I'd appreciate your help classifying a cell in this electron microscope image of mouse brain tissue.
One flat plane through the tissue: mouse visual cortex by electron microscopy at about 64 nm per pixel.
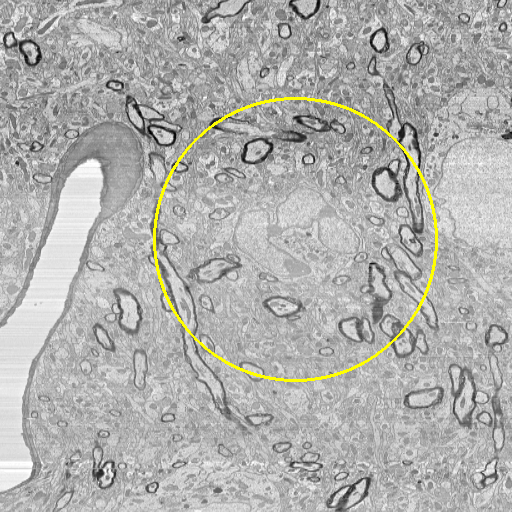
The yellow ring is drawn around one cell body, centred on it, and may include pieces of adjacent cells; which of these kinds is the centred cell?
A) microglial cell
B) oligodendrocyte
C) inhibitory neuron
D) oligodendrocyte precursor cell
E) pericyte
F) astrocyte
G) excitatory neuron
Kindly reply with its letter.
D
